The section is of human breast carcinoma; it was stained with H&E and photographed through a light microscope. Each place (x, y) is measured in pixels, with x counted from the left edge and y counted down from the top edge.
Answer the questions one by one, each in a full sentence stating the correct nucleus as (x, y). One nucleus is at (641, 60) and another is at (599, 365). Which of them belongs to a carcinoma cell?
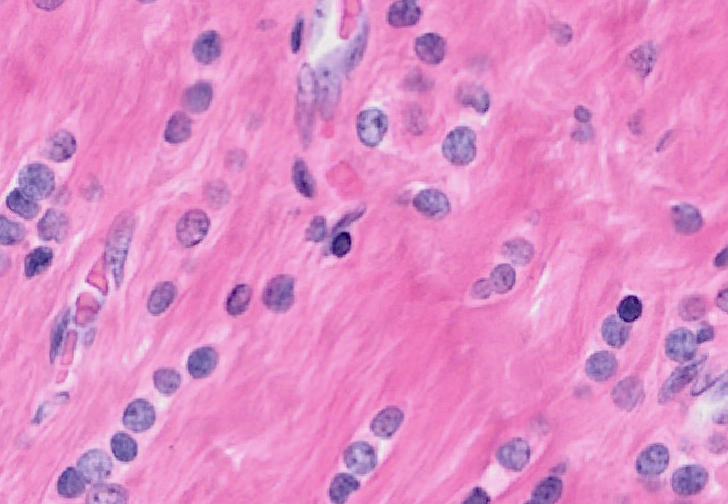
The nucleus at (599, 365) is attributed to a carcinoma cell, unlike the other nucleus.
